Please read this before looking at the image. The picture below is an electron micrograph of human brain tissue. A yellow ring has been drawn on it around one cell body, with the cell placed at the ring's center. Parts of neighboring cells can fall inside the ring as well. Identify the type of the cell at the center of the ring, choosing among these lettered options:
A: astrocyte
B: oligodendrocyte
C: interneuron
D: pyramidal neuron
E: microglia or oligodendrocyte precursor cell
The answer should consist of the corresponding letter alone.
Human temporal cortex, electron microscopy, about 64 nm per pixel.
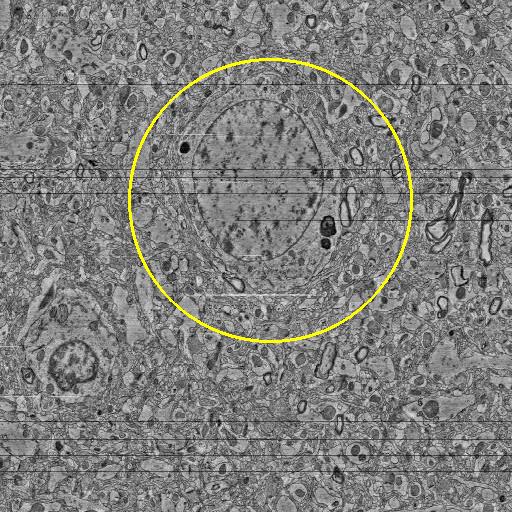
D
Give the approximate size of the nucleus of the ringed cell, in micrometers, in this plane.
The nucleus appears roughly 11 by 9 micrometres in this plane.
